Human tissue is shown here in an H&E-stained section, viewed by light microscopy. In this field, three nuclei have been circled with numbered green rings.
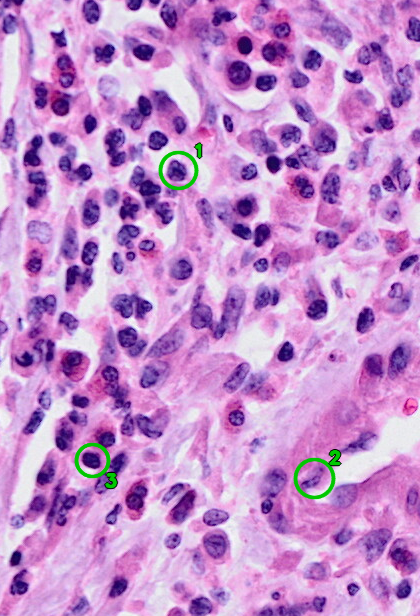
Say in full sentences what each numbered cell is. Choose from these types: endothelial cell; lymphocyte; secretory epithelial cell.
Cells 1 and 3 are lymphocytes. Cell 2 is an endothelial cell.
